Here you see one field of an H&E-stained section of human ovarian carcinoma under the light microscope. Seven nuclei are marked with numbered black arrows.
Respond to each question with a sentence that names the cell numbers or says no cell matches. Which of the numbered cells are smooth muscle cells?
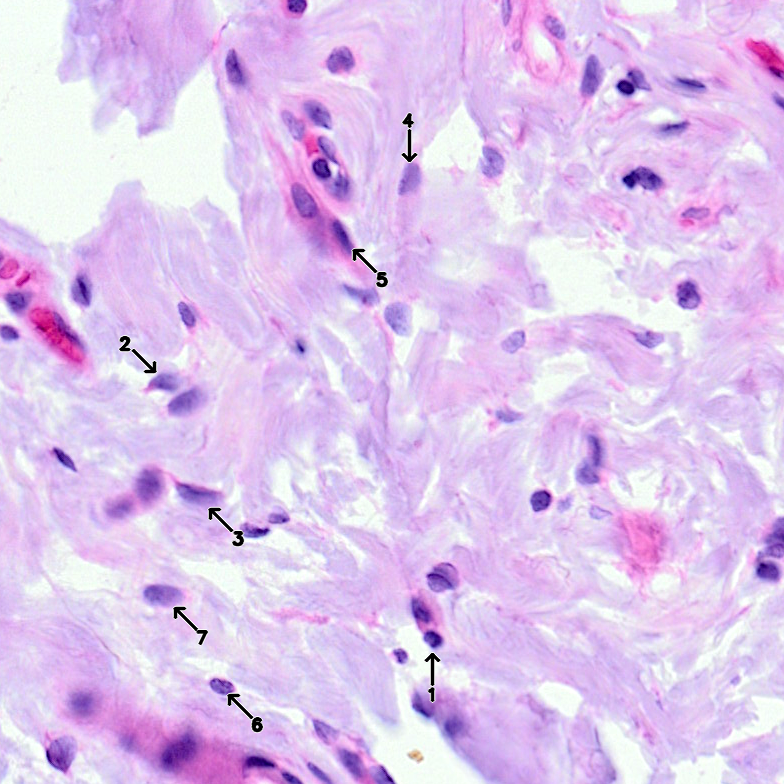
Across all the numbered cells, only number 5 is a smooth muscle cell.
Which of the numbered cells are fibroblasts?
The cells which carry the numbers 2, 3, 4 and 7 are fibroblasts.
